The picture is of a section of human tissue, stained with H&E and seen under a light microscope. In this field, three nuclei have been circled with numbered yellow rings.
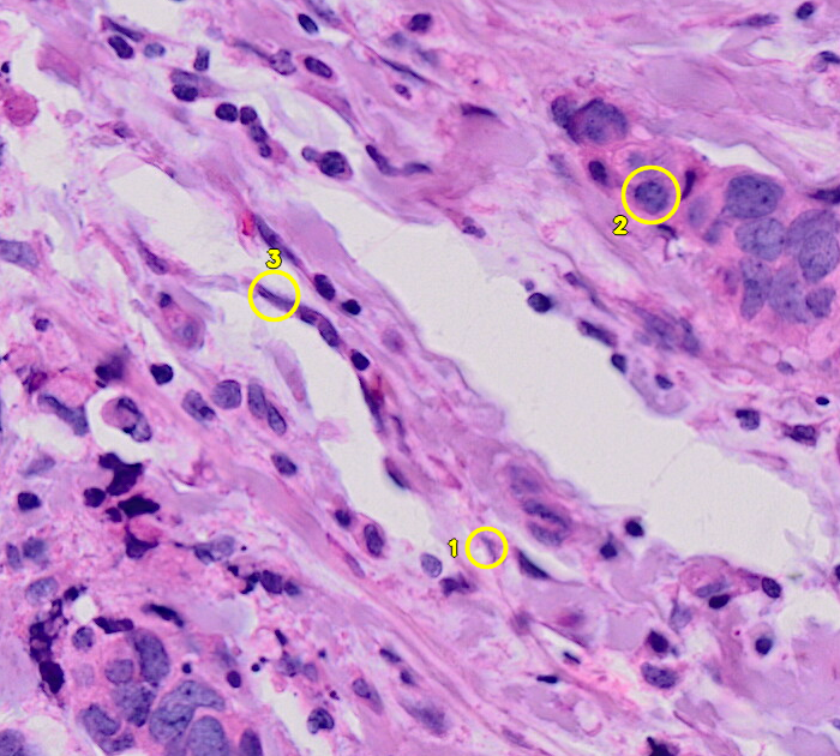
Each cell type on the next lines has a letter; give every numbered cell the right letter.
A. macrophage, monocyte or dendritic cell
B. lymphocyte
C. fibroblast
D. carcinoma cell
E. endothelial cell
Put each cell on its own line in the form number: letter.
1: C
2: D
3: C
